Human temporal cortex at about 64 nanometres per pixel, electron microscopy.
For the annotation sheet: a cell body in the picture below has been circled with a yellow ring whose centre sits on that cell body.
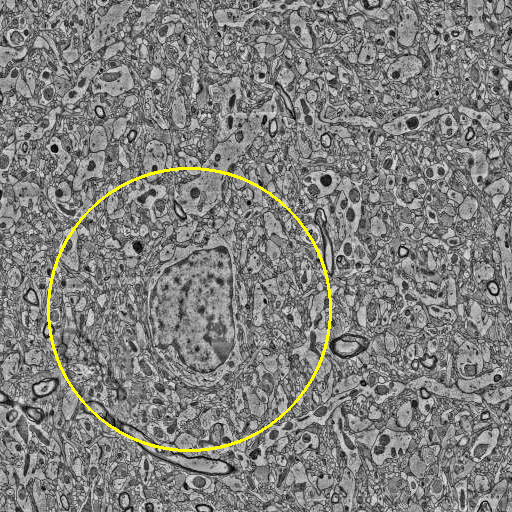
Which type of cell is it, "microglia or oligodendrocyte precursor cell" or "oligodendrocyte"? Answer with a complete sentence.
The circled cell is a microglial cell or oligodendrocyte precursor cell.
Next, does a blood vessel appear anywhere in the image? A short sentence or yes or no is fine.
No, there is no blood vessel.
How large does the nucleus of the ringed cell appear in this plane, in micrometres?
The nucleus appears roughly 8 by 6 micrometres in this plane.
